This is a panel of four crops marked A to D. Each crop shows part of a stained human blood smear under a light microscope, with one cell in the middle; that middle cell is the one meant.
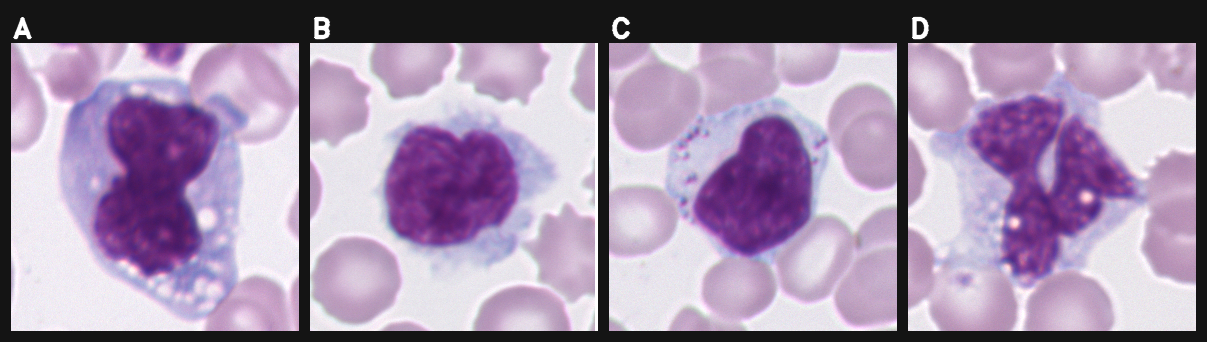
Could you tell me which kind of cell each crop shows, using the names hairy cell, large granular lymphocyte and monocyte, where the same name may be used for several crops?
A: monocyte
B: hairy cell
C: large granular lymphocyte
D: monocyte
